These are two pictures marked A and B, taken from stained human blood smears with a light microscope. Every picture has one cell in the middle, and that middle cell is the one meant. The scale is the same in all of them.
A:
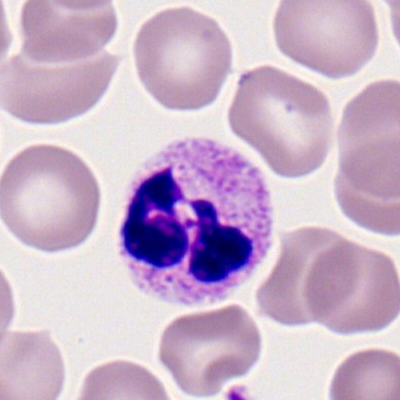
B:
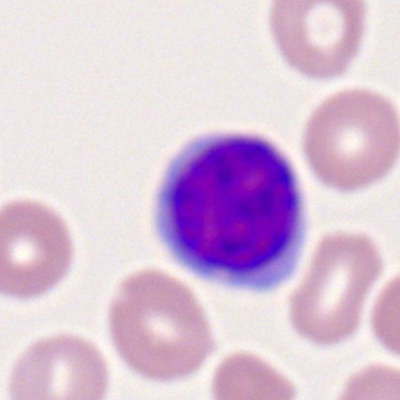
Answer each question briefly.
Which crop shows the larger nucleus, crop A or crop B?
B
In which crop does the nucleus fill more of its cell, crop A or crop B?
B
